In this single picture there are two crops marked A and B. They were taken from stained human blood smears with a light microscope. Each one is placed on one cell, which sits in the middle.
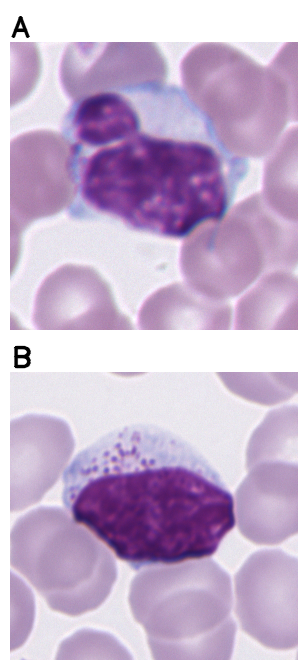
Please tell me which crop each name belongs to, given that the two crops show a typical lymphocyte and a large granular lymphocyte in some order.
A: typical lymphocyte
B: large granular lymphocyte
